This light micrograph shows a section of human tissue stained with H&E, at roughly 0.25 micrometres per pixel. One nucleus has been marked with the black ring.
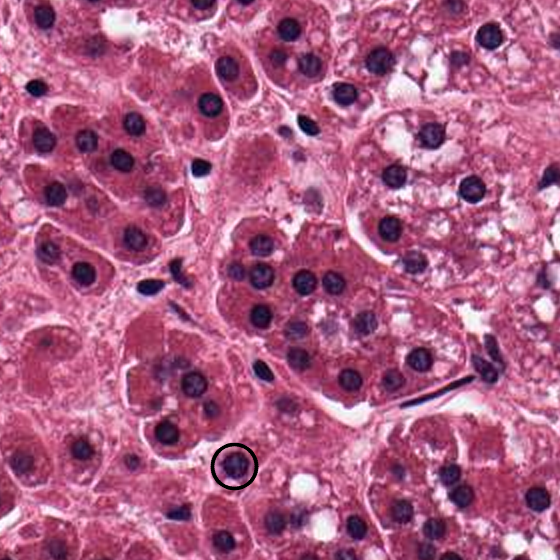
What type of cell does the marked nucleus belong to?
adrenal cortical cell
